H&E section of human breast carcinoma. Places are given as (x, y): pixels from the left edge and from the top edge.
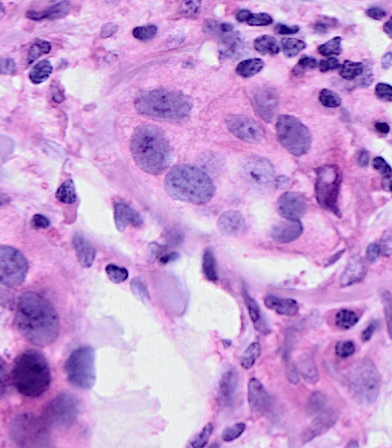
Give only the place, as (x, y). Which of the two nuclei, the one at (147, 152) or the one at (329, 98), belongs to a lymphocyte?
(329, 98)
